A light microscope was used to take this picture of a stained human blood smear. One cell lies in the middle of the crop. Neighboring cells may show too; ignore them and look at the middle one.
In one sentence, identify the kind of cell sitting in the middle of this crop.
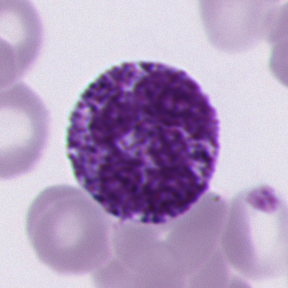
The cell featured at the centre of this crop is a basophil.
